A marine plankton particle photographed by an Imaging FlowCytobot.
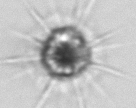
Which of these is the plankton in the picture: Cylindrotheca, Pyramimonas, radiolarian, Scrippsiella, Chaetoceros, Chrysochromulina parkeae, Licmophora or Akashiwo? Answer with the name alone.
radiolarian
